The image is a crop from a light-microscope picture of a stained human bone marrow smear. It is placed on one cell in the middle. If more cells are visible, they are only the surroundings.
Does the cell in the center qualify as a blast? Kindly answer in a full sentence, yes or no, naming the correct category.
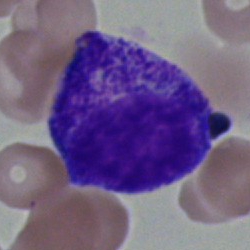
No, it isn't a blast; what sits in the middle is a myelocyte.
